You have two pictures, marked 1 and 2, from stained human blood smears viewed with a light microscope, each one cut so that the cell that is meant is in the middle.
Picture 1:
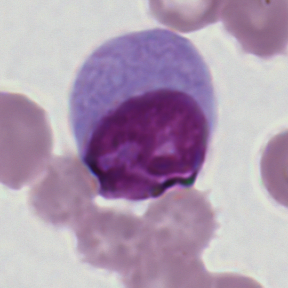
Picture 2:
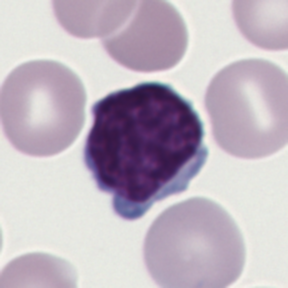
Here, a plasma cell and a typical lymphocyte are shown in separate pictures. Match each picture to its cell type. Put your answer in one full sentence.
Picture 2 shows a typical lymphocyte, while picture 1 shows a plasma cell.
